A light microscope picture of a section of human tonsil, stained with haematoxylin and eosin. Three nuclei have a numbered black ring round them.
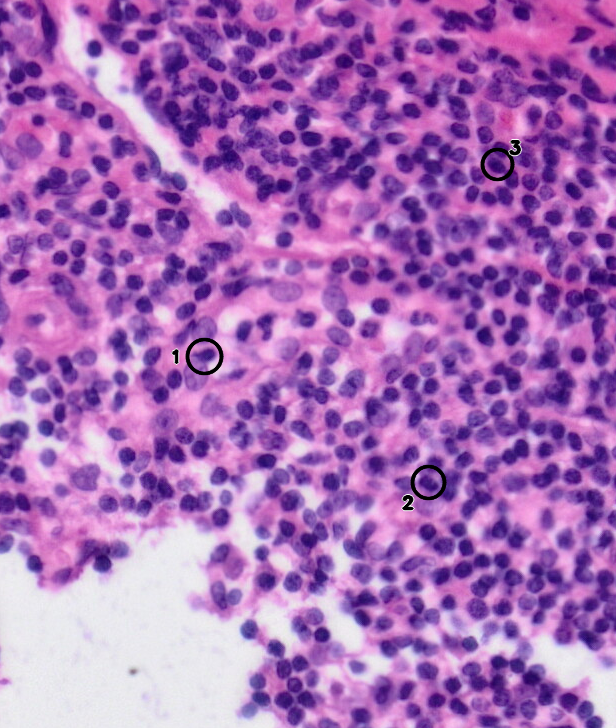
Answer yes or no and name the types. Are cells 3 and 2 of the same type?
Yes, and to be precise, cells 3 and 2 are both small lymphocytes.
